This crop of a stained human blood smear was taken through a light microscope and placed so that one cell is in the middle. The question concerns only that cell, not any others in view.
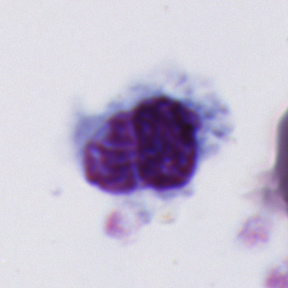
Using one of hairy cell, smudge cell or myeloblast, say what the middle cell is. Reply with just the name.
hairy cell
